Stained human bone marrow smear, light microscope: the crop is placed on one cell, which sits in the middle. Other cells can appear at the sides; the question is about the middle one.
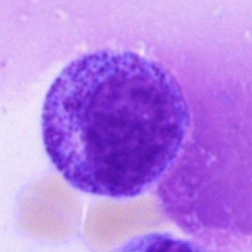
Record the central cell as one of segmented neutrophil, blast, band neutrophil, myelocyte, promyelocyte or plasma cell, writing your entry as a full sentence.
The target cell in the middle of the crop is a promyelocyte.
